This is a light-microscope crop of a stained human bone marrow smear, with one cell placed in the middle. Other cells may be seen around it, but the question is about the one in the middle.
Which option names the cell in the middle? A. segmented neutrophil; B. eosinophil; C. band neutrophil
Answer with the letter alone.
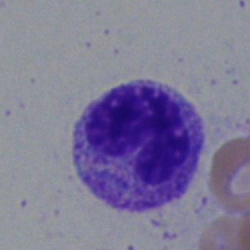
C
